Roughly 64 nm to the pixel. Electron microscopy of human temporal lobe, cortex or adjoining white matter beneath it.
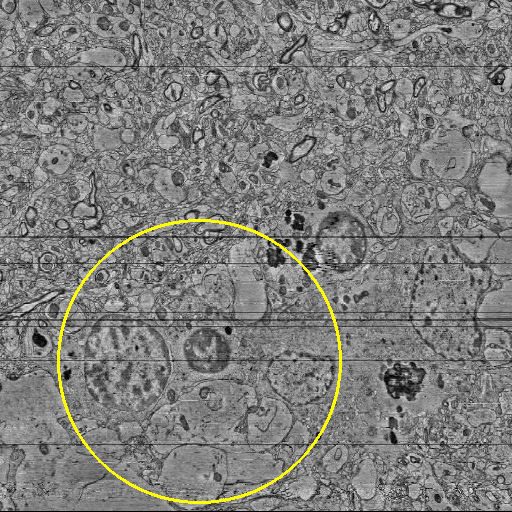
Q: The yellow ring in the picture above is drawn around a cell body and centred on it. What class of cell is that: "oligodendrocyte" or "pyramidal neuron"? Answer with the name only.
oligodendrocyte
